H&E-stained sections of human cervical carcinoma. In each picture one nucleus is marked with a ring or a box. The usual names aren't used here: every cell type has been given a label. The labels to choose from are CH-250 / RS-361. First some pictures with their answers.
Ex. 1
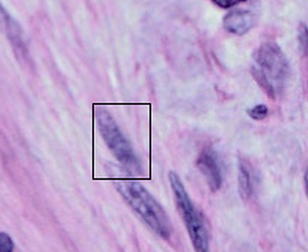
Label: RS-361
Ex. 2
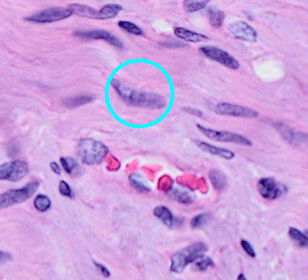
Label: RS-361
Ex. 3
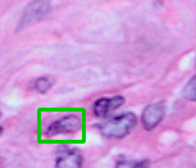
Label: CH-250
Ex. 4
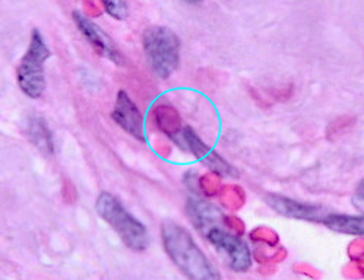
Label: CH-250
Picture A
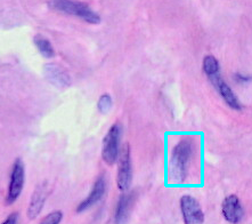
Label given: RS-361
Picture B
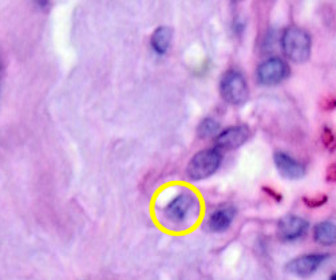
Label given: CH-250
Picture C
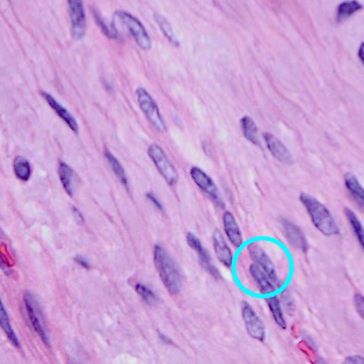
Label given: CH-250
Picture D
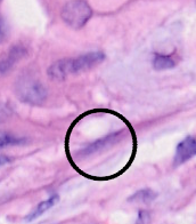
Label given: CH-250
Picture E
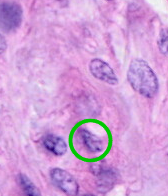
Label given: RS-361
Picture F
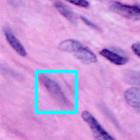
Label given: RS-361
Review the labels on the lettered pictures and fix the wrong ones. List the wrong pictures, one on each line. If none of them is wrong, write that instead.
D is labelled CH-250; correct label: RS-361
E is labelled RS-361; correct label: CH-250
